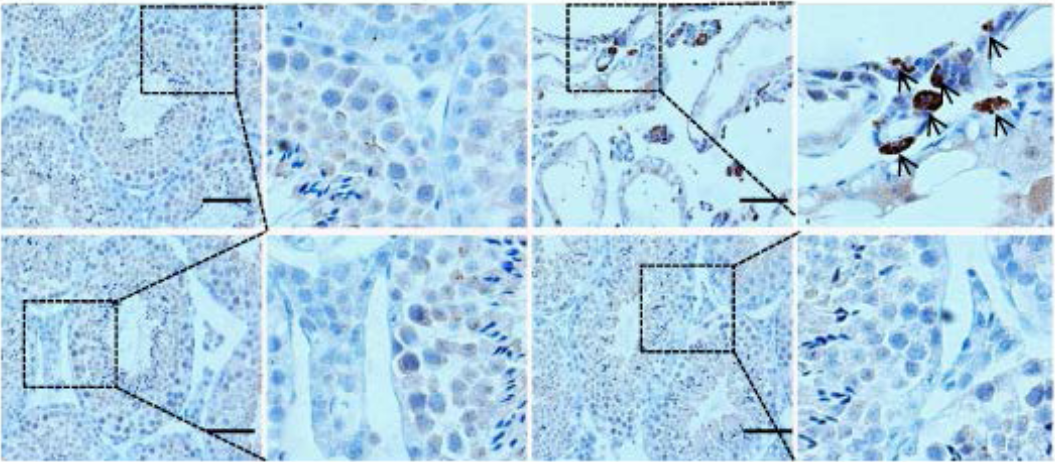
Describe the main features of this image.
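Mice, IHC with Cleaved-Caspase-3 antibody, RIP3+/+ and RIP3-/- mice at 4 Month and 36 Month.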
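Most views show testis cut across, with round tubules filled by layers of round germ cells stained pale blue, and dark, slender, elongated nuclei toward the tubule centres. In one view the tubules look thinner and emptier, and several plump cells in the spaces between the tubules carry dense brown stain; these are Leydig cells. Elsewhere the brown stain is hardly seen.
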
